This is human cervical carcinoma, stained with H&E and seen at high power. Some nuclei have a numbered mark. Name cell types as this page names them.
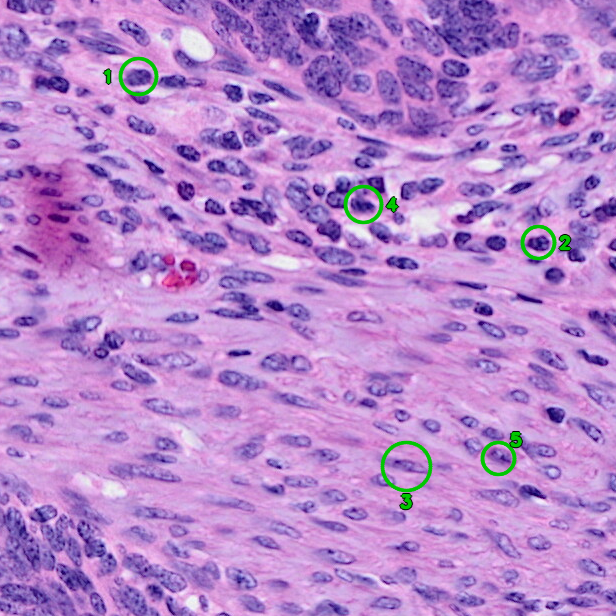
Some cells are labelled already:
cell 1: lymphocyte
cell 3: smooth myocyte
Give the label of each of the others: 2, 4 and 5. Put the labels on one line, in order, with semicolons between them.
lymphocyte; lymphocyte; smooth myocyte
